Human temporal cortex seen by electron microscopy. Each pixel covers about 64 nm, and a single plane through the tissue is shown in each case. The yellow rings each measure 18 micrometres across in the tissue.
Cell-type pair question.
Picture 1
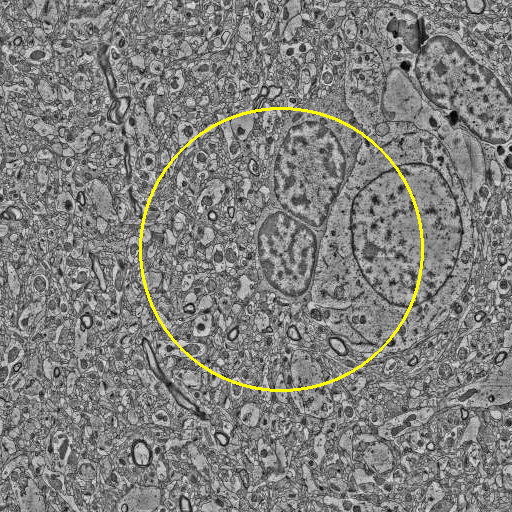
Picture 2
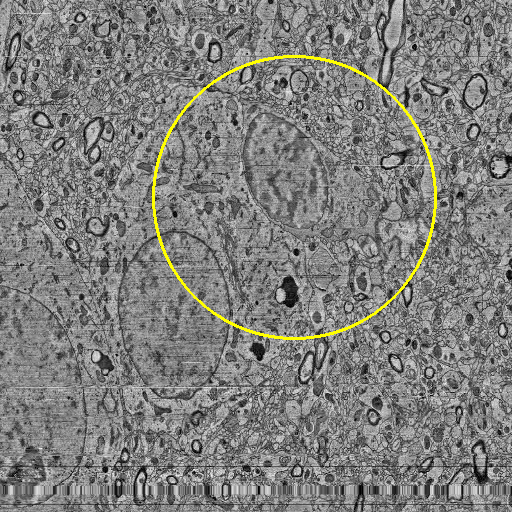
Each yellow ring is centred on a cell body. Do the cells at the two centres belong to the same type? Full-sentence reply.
Yes, the two cells belong to the same type.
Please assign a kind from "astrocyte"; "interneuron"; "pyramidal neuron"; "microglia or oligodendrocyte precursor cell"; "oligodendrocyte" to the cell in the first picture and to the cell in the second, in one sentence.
Each one of the two ringed cells is an oligodendrocyte.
